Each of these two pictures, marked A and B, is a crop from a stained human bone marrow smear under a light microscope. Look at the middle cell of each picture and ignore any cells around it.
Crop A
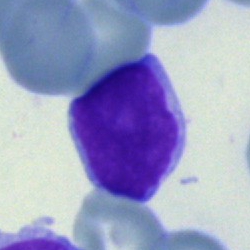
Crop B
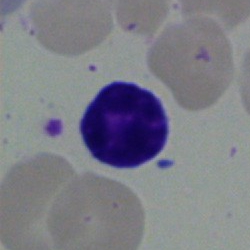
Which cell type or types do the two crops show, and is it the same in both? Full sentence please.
Yes, both crops show lymphocytes at their middles.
